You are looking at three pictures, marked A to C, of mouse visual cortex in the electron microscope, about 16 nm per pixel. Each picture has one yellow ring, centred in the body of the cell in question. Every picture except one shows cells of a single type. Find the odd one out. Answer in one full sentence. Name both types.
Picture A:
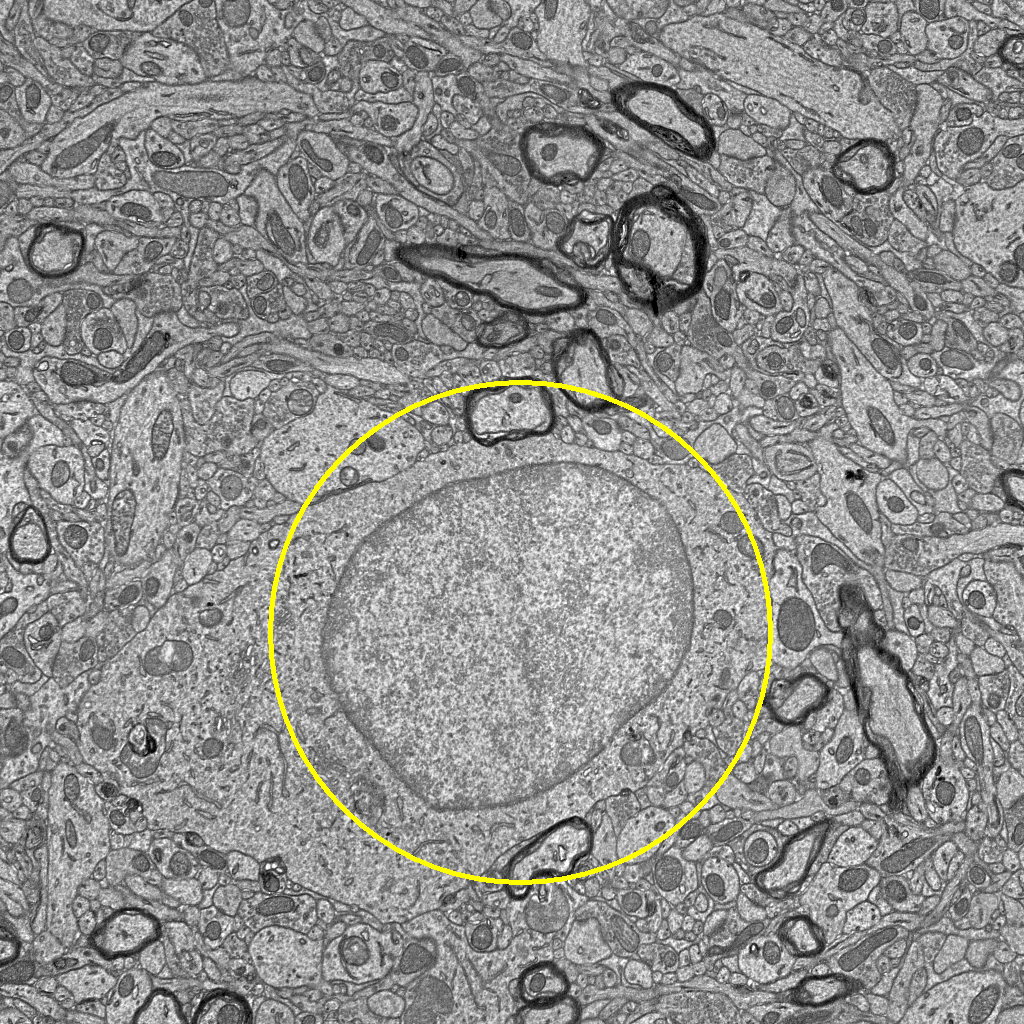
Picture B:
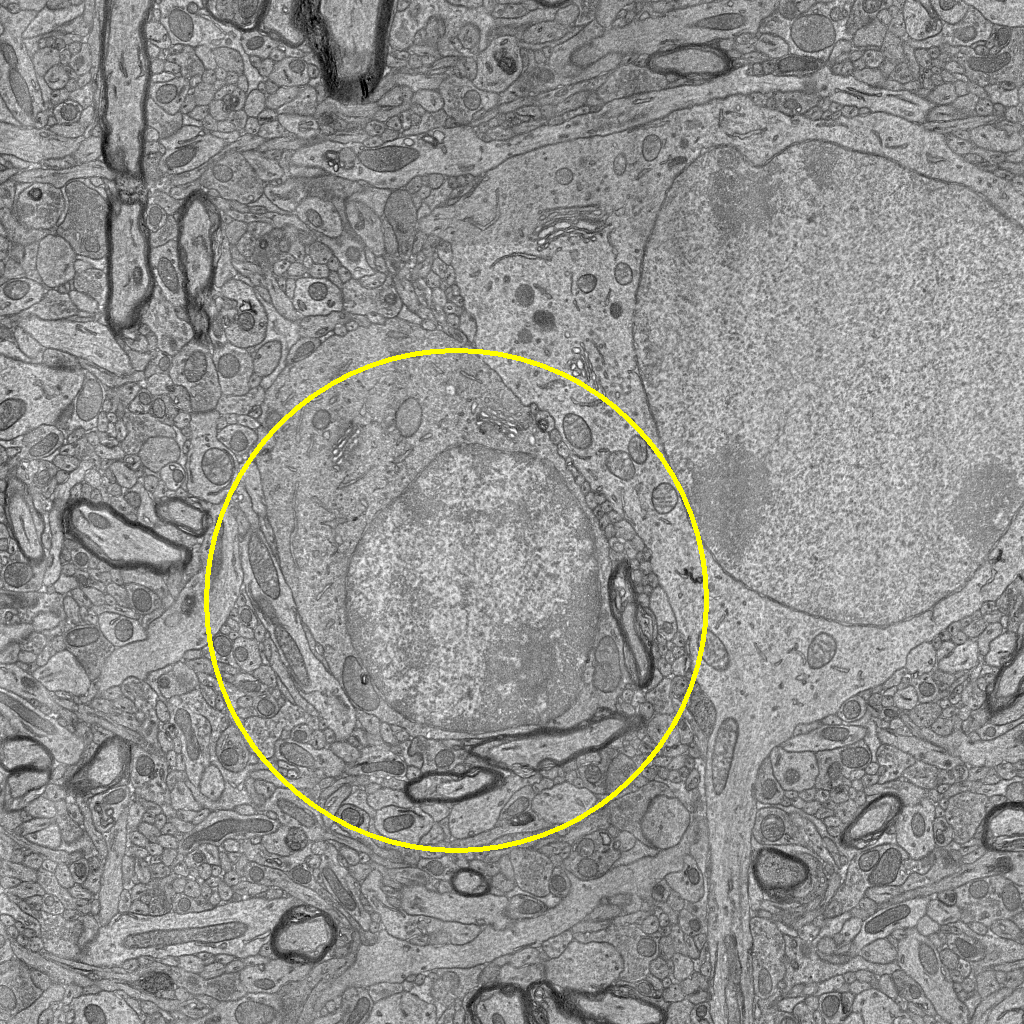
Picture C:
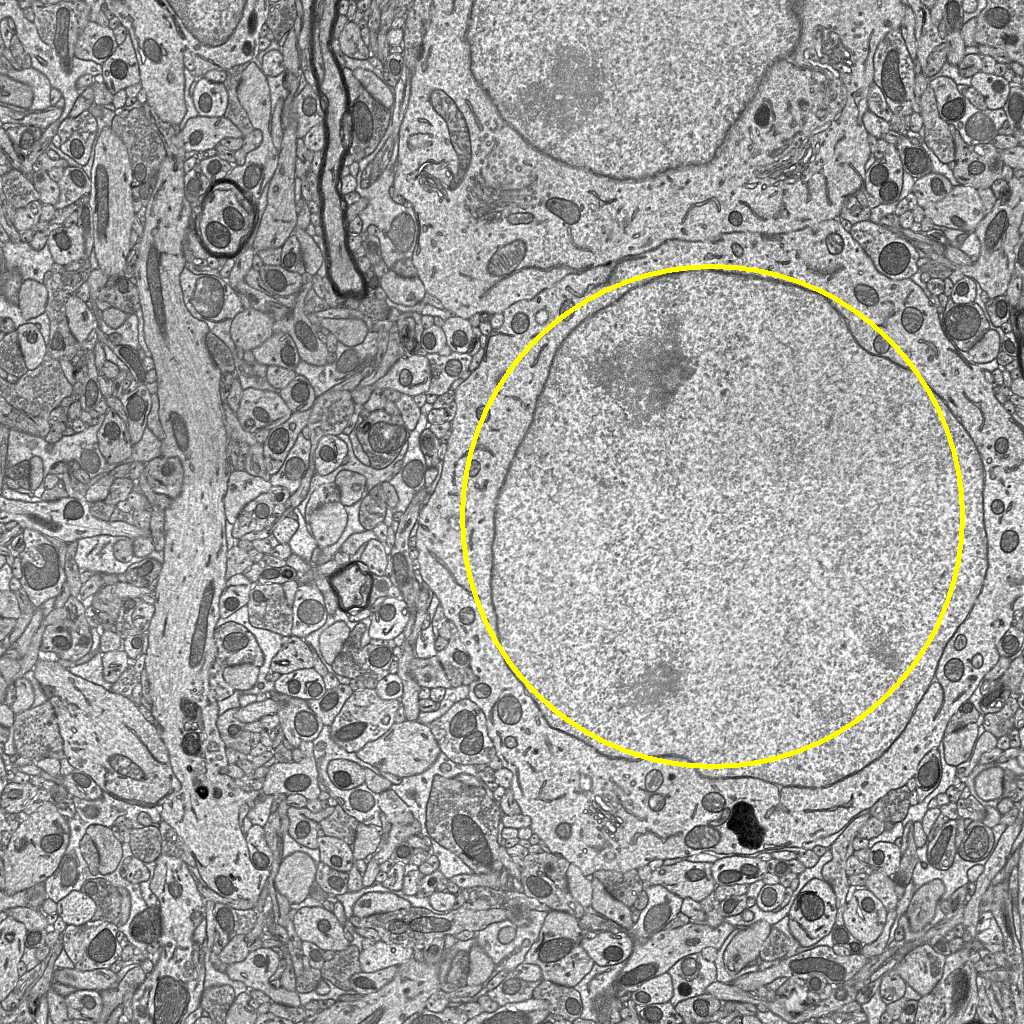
The others show oligodendrocytes, but picture C shows an excitatory neuron.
